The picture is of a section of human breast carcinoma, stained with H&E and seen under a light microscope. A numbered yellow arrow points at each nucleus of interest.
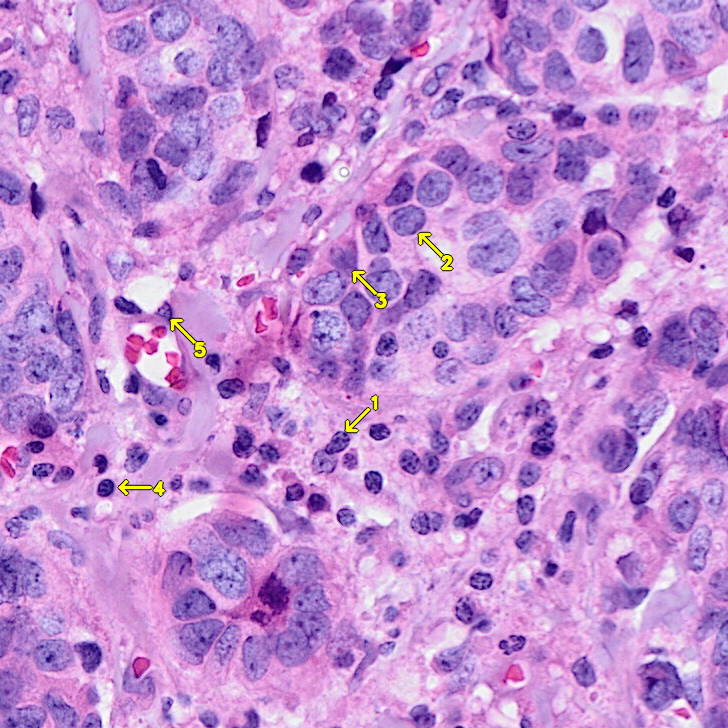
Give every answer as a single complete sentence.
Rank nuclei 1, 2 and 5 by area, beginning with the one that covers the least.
Smallest first, the nuclei run 5, 1, 2.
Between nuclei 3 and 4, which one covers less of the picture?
The smaller nucleus is 4, and 3 covers roughly 2 times its area.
